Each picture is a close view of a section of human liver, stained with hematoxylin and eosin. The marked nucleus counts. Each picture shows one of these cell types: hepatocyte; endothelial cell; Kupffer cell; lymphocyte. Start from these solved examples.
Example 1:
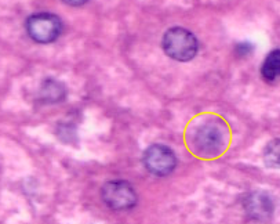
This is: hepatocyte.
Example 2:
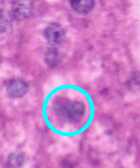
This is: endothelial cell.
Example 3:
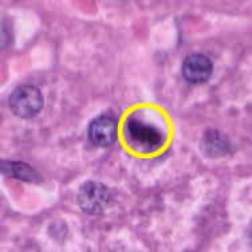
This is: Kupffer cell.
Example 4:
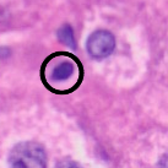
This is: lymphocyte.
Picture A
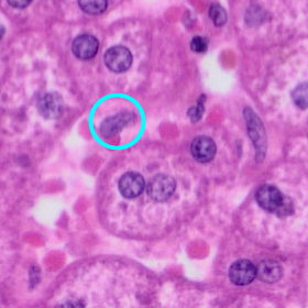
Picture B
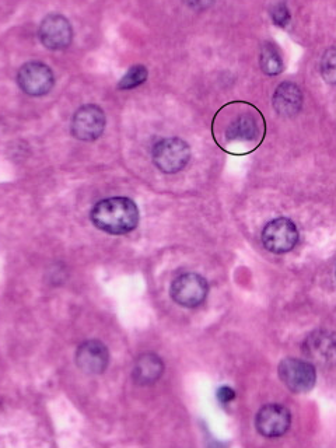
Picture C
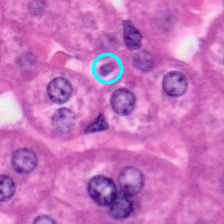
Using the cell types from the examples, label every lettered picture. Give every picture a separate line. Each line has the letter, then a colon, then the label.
A: Kupffer cell.
B: endothelial cell.
C: lymphocyte.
